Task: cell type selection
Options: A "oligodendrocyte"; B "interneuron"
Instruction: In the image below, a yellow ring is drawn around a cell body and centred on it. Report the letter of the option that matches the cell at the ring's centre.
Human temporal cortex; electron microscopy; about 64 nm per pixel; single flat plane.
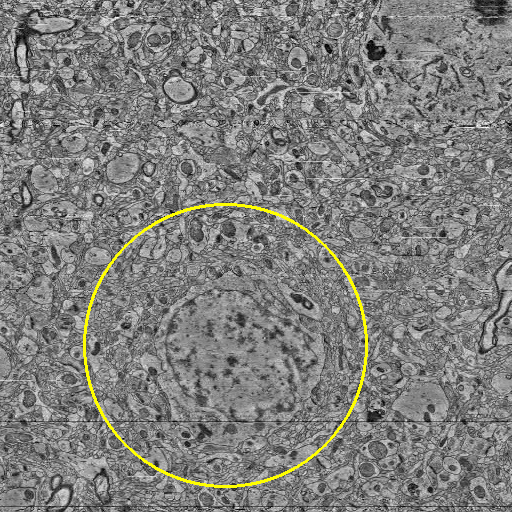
B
